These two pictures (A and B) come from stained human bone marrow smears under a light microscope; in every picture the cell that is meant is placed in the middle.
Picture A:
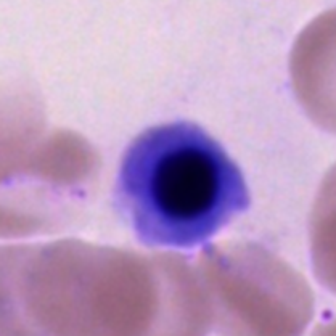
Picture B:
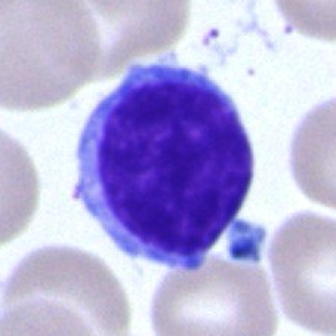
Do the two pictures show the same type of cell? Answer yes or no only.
no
